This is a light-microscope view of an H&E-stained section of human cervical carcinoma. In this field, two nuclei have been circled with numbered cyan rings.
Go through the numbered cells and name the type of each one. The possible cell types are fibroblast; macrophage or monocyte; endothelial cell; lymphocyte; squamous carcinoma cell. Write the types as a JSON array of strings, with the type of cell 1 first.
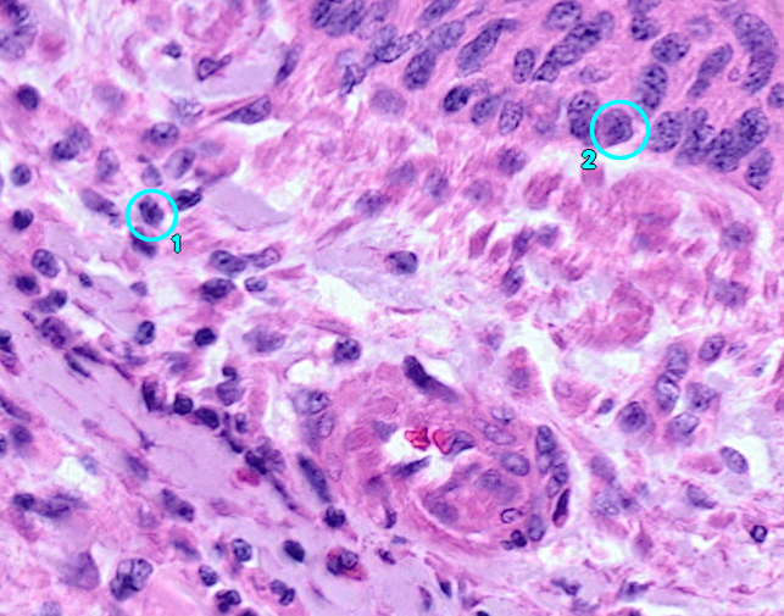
["lymphocyte", "squamous carcinoma cell"]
